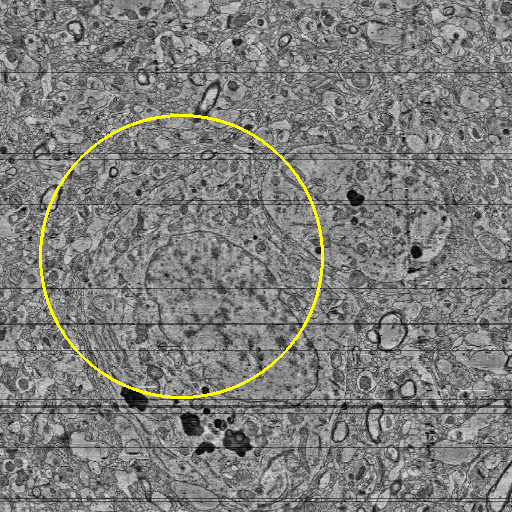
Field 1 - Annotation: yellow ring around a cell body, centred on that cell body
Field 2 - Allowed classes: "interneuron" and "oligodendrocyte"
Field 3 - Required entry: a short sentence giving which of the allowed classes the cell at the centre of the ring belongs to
The centred cell is an interneuron.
